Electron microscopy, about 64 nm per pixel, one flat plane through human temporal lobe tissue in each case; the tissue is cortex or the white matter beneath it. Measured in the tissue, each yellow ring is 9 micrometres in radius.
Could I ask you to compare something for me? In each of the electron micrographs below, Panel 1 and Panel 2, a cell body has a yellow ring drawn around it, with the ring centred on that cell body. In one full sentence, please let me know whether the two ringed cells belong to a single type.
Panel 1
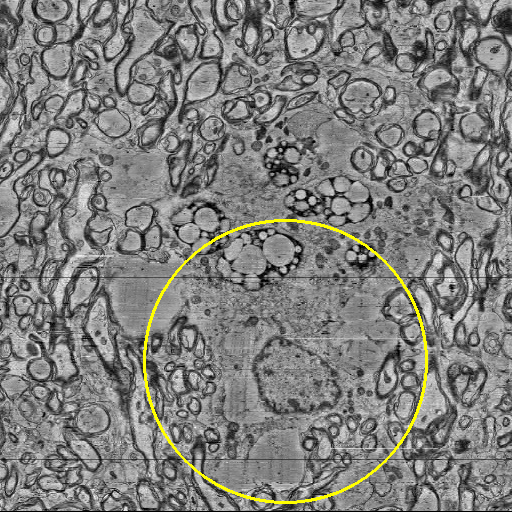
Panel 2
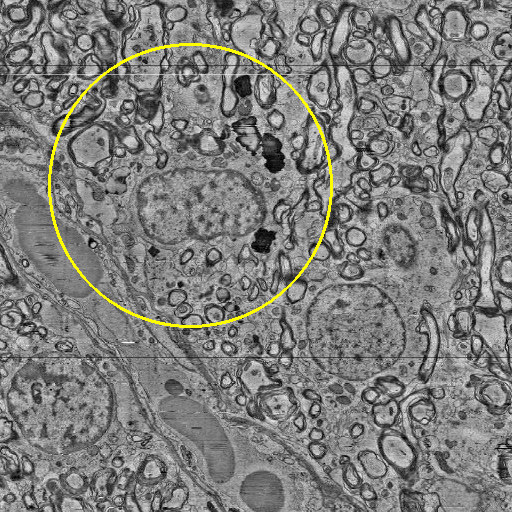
No, the two cells at the centres of the rings are of two types.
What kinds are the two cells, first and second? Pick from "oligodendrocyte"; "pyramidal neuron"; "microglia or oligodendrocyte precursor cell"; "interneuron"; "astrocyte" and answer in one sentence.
The second picture holds an oligodendrocyte in its ring, and the first holds an astrocyte.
